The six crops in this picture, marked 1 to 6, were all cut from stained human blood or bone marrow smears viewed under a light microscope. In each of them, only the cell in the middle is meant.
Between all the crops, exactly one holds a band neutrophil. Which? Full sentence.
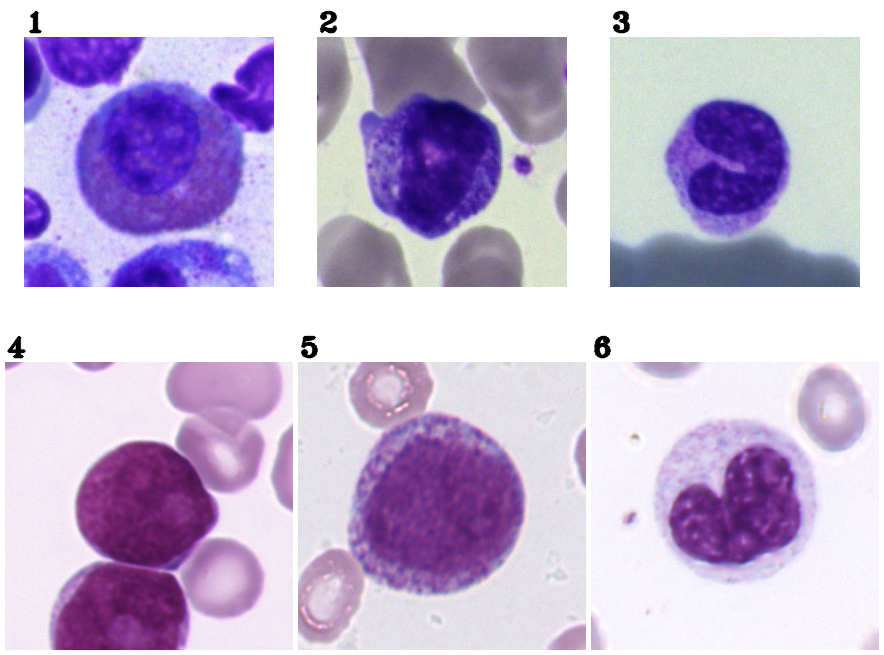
Crop 3 is the one to choose: it shows a band neutrophil.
